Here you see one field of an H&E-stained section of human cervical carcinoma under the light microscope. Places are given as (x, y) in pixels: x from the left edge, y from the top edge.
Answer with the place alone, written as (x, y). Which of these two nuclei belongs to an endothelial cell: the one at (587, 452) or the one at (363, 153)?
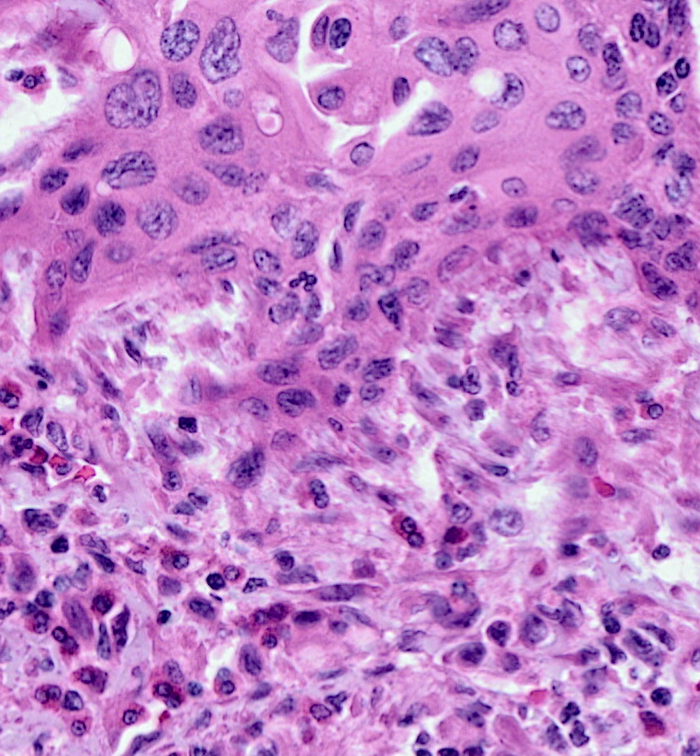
(587, 452)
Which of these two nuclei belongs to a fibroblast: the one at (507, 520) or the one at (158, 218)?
(507, 520)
